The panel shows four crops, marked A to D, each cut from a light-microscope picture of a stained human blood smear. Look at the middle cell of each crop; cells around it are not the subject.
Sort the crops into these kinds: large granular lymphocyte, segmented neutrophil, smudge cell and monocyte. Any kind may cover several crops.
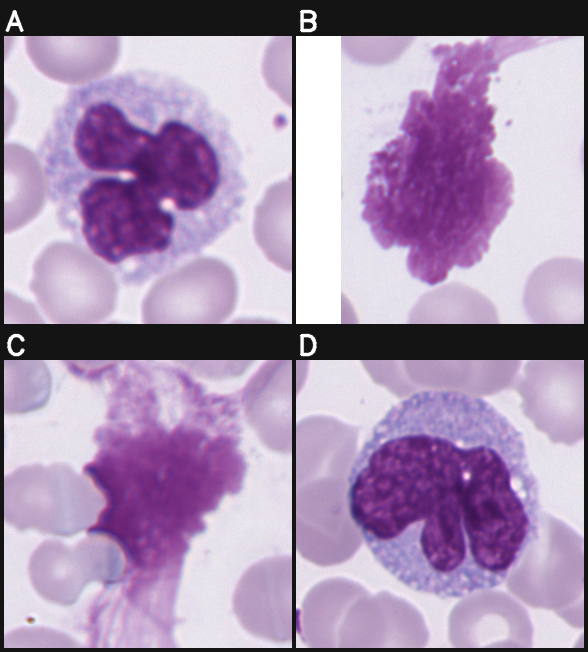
A: monocyte
B: smudge cell
C: smudge cell
D: monocyte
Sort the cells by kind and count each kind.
monocyte: 2
smudge cell: 2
